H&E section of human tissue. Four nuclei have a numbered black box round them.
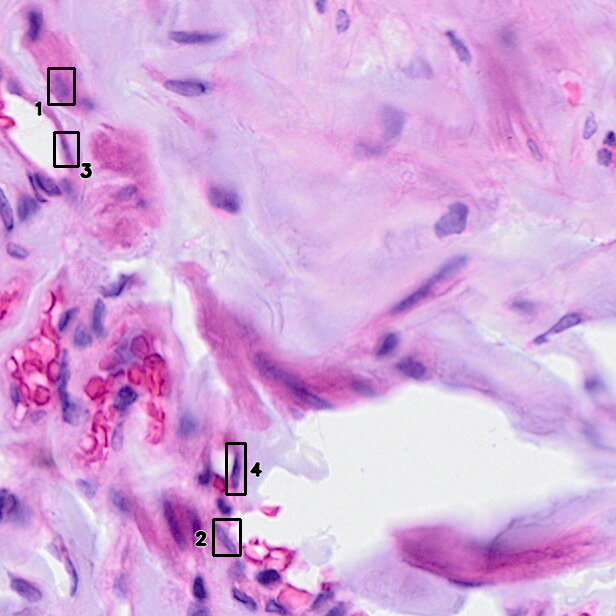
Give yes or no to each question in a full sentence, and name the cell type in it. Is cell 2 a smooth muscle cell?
No, the cell at number 2 is an endothelial cell instead of a smooth muscle cell.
